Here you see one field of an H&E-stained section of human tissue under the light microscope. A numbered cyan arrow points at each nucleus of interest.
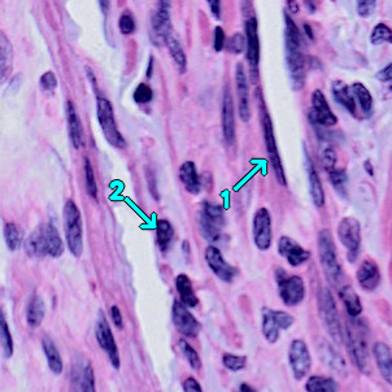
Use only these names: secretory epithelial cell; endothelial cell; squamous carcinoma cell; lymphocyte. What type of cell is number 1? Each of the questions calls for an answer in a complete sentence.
The cell whose nucleus carries the number 1 is an endothelial cell.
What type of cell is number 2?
Number 2 is placed on a lymphocyte here.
